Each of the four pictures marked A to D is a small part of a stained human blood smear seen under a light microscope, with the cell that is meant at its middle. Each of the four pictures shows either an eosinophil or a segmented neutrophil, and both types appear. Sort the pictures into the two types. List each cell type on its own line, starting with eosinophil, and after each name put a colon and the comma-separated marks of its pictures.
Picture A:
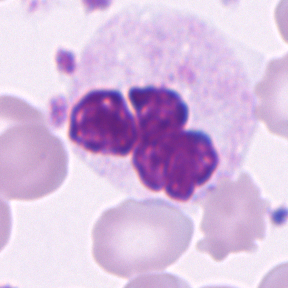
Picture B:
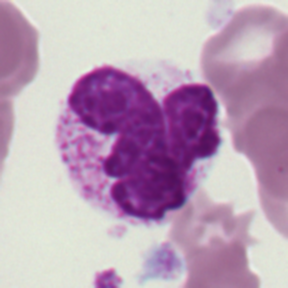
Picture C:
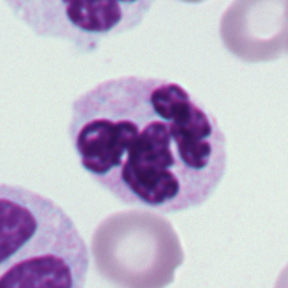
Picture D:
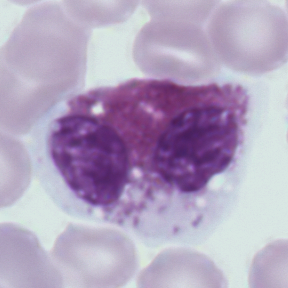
eosinophil: D
segmented neutrophil: A, B, C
